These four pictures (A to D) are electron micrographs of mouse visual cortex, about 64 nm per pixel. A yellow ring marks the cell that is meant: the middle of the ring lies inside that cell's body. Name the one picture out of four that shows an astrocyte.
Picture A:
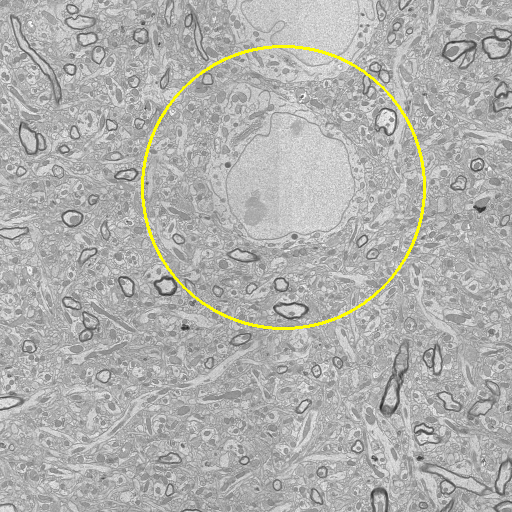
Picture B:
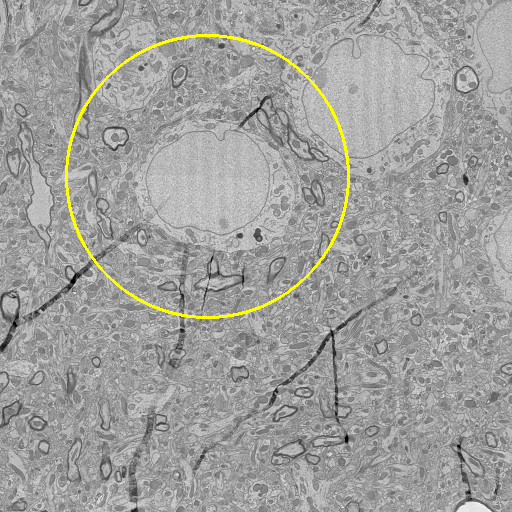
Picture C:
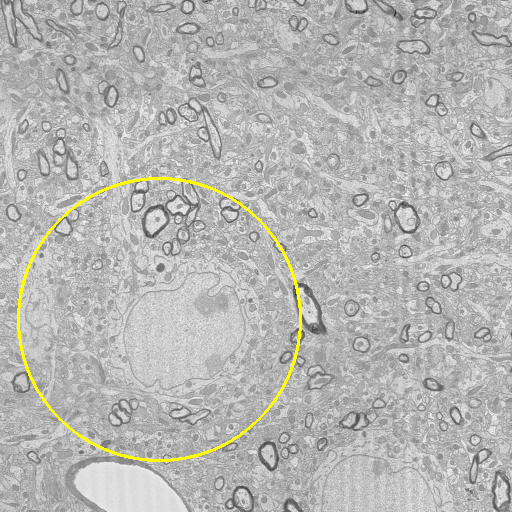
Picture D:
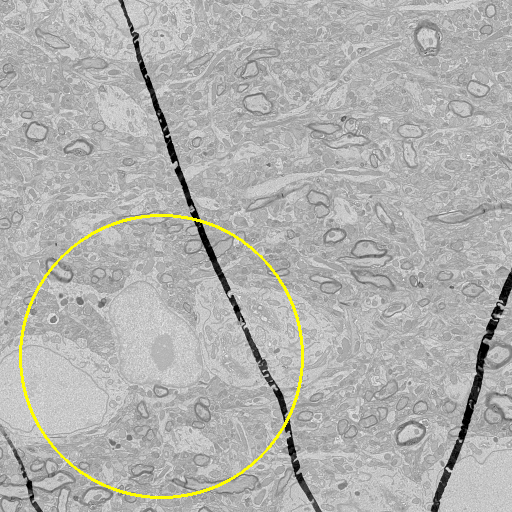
It is picture D that shows the astrocyte.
